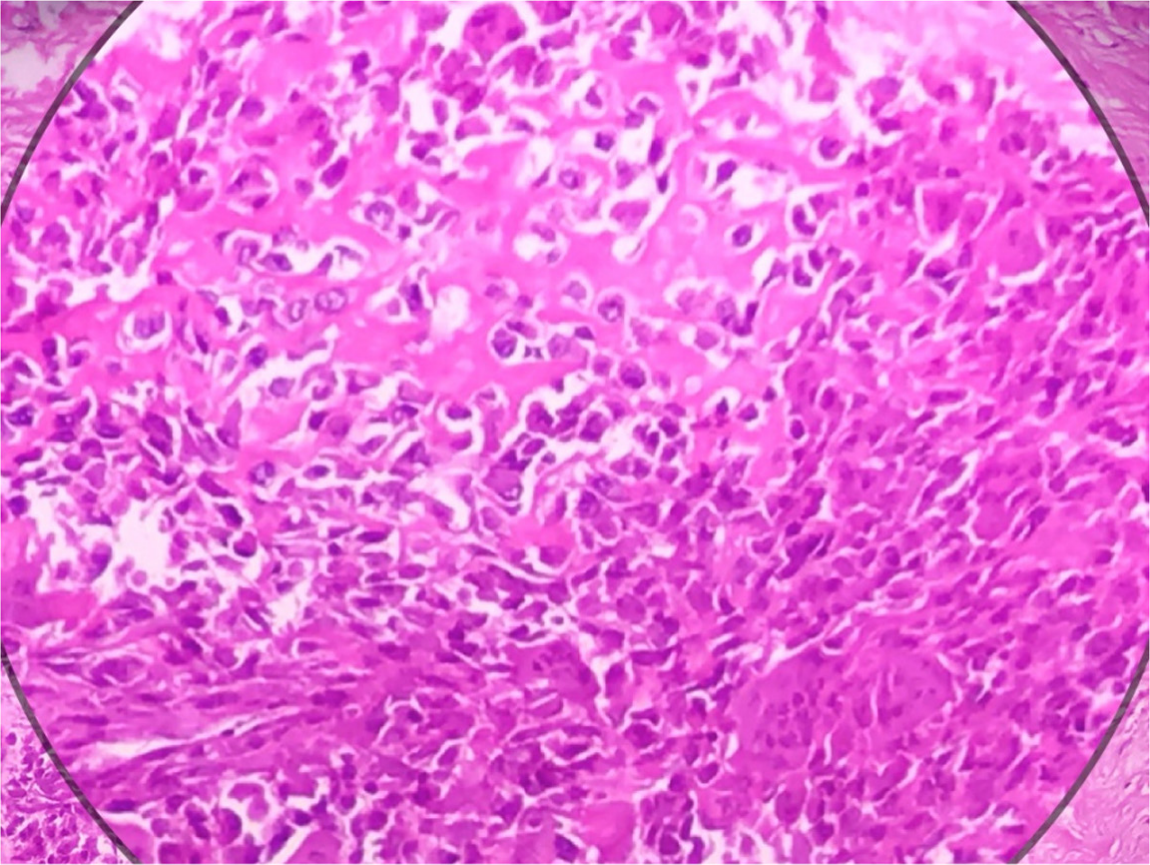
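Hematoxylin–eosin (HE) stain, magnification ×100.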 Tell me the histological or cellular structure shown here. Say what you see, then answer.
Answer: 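Pink, homogeneous, lace-like matrix runs between tumour cells in the upper half of the field. Tumour cells sit in small spaces within the pink matrix. The matrix shows no dark purple mineralized areas. That points to this answer: eosinophilic unmineralized neoplastic osteoid.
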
